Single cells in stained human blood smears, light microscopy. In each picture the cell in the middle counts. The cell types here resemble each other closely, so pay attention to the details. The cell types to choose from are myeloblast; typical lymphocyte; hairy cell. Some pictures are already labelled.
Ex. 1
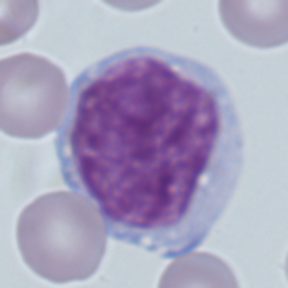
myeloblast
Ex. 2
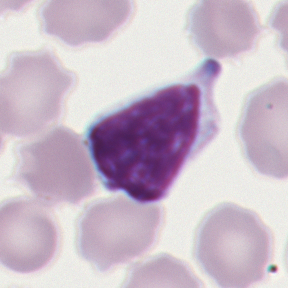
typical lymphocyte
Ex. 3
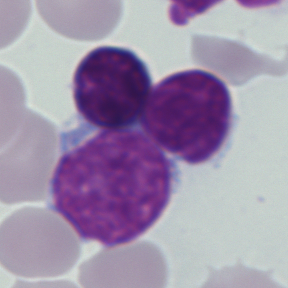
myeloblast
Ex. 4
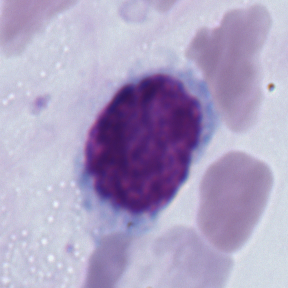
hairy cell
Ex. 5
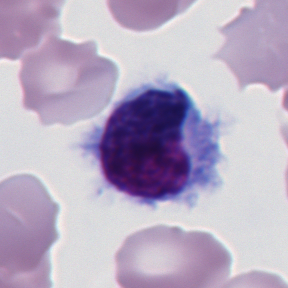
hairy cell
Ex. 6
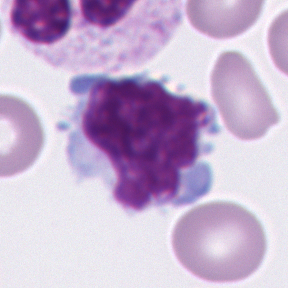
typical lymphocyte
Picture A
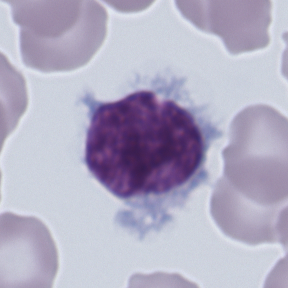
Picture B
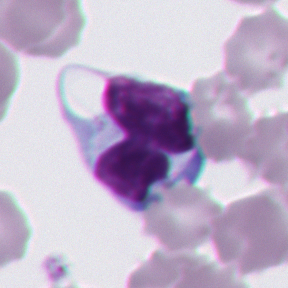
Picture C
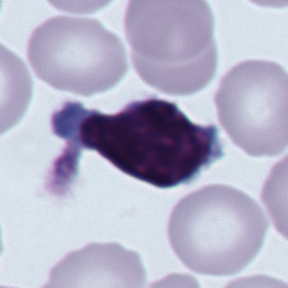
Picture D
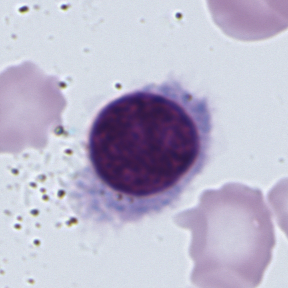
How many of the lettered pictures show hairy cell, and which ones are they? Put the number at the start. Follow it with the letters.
Count: 2 (A, D)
